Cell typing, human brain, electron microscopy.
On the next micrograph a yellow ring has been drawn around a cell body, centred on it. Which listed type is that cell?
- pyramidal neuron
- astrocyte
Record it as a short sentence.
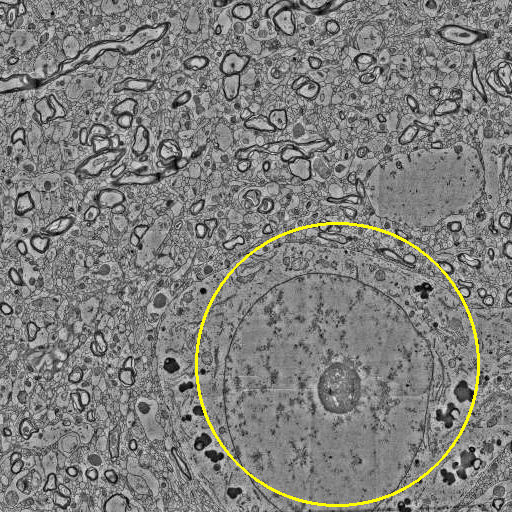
The cell body in the ring's centre belongs to a pyramidal neuron.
